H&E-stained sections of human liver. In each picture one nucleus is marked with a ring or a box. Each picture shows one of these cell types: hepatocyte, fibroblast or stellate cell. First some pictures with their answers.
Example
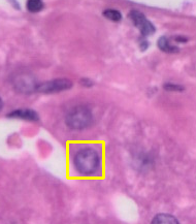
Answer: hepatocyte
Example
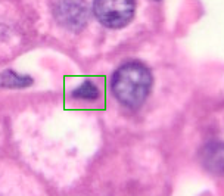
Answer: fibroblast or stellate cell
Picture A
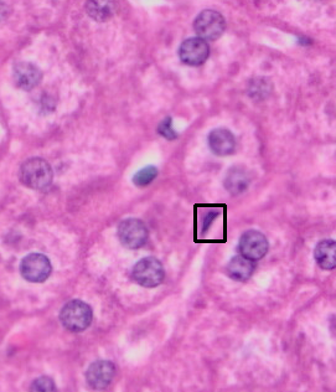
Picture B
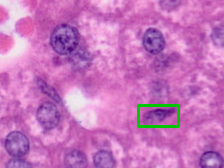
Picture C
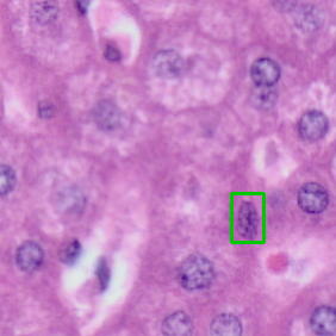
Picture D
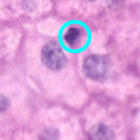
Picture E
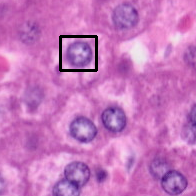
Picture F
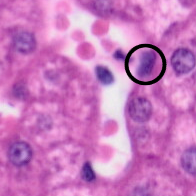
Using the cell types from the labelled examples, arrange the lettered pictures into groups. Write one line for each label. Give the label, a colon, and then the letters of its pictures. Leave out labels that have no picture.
hepatocyte: E
fibroblast or stellate cell: A, B, C, D, F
